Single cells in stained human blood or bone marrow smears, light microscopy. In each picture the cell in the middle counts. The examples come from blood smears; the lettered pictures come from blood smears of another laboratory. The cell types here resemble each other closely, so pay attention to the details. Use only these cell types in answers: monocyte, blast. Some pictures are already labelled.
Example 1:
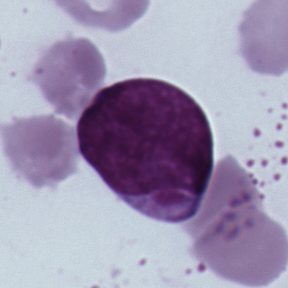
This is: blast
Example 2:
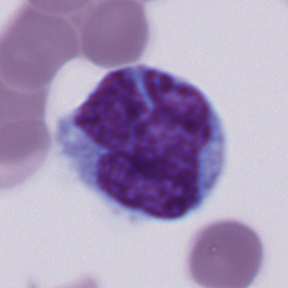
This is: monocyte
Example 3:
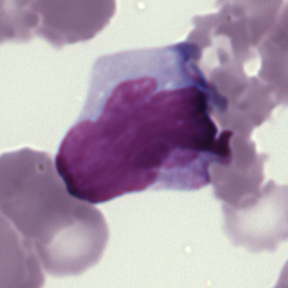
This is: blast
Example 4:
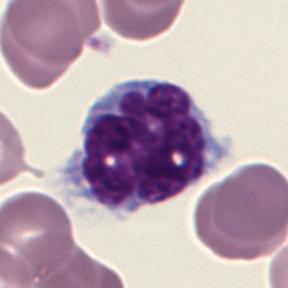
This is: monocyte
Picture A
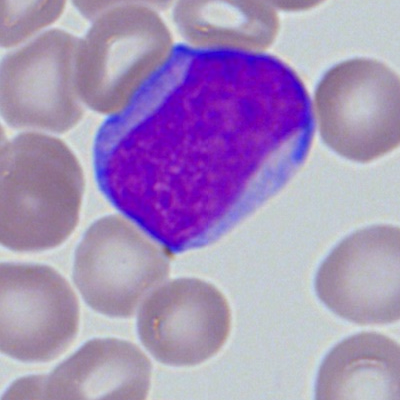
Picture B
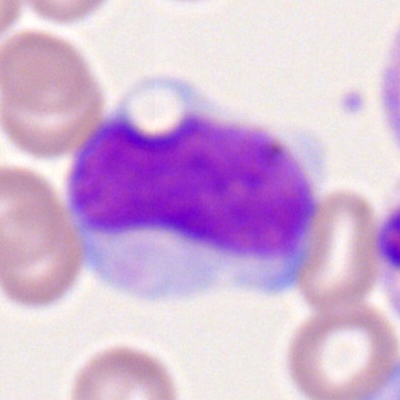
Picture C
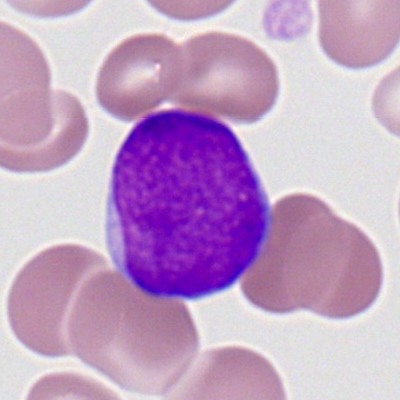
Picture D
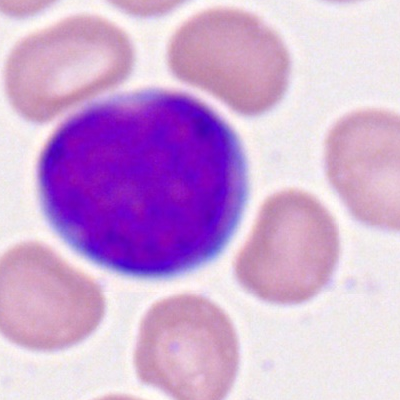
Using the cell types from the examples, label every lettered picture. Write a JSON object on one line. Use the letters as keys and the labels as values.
{"A": "blast", "B": "monocyte", "C": "blast", "D": "blast"}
